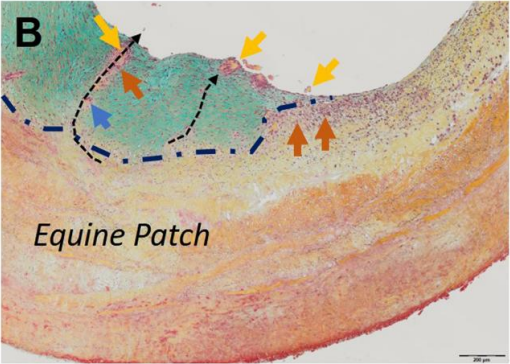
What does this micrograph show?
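The patch itself stains yellow to orange in wavy fibrous bands, with a red rim along its outer edge. The turquoise tissue contains scattered cells with dark nuclei, denser near the border with the patch. Small orange-red fragments lie at and near the luminal surface of the turquoise layer. A dashed line traces the uneven boundary between the pannus and the patch.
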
